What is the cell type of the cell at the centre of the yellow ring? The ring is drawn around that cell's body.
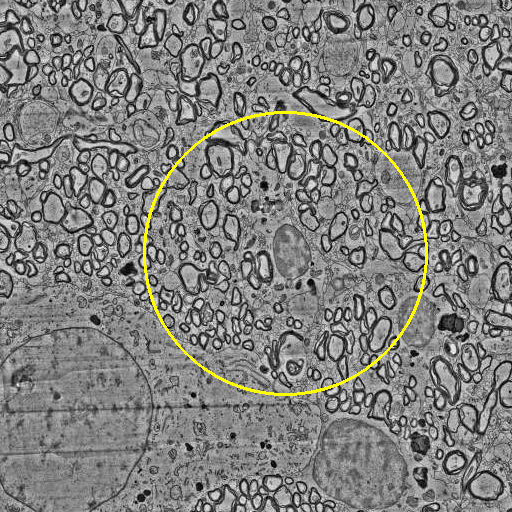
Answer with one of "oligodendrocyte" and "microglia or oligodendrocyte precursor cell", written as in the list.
microglia or oligodendrocyte precursor cell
